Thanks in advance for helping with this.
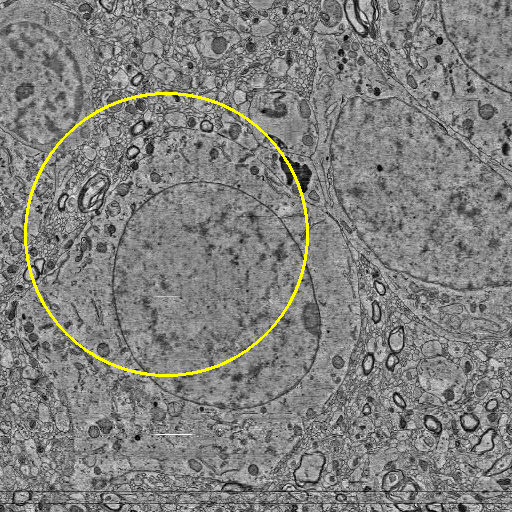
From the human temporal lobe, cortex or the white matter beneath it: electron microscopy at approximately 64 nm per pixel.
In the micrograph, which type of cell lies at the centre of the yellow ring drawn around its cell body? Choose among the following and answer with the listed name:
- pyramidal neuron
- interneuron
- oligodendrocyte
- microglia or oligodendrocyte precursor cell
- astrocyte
pyramidal neuron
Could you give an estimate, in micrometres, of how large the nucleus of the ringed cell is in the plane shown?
Approximately 16 micrometres long and 13 micrometres wide, in this plane.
